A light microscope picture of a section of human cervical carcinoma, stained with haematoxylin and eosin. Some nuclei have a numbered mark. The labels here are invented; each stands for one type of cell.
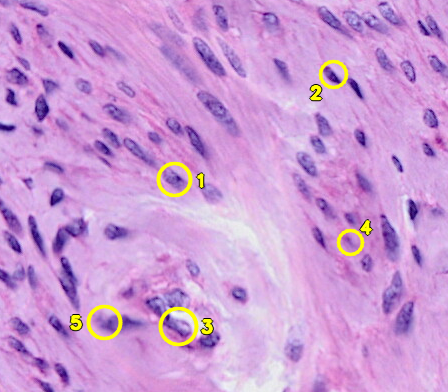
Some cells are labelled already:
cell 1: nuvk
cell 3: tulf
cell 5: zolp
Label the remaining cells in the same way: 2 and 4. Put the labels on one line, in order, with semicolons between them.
zolp; nuvk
